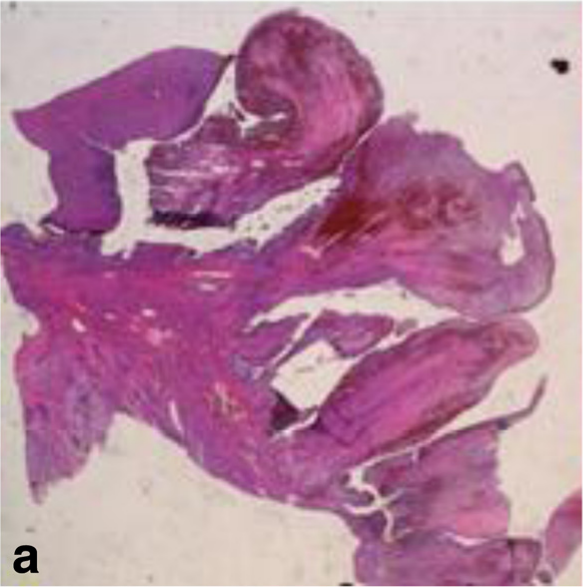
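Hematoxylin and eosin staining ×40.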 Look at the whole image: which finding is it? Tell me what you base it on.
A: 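Tissue is folded into several rounded, lobed projections. The projections are separated by clefts and spaces. That points to this answer: polypoid formation.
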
